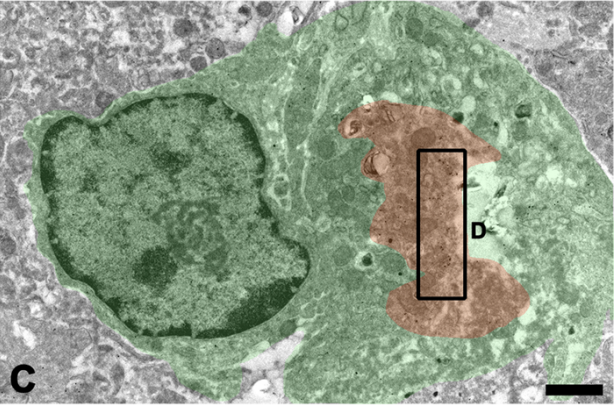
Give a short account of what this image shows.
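A single large cell, shaded green, fills much of the field and is surrounded by densely packed small profiles of neuropil. Its nucleus is large and irregular in outline, with clumps of dark heterochromatin along the nuclear envelope and patches within the nucleoplasm. The cytoplasm beside the nucleus is abundant and holds many small vesicles and membranous profiles.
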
